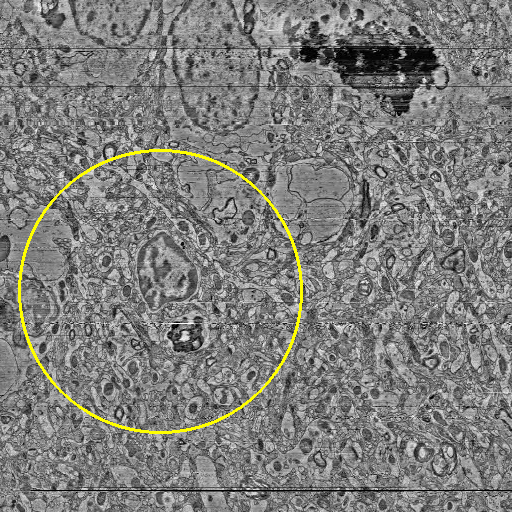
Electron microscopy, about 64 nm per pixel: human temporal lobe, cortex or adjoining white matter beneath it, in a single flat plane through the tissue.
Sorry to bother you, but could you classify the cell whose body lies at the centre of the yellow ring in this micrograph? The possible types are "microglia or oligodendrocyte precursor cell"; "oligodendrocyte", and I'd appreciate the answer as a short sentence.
The ringed cell body is that of a microglial cell or oligodendrocyte precursor cell.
